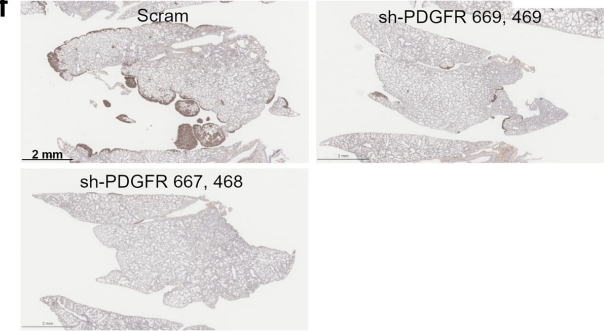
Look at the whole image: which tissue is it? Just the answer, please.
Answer: Lungs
